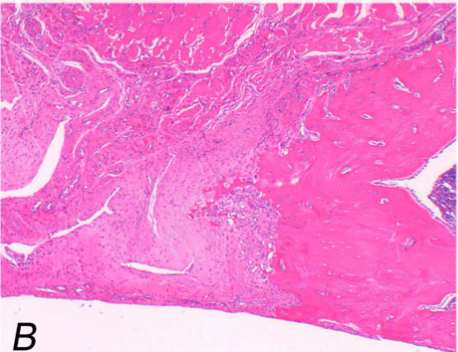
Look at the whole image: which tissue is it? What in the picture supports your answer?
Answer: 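Fibrous tissue. The left part is made of loosely arranged cellular tissue with elongated nuclei and wavy strands. The right part is solid, deep pink bone with lacunae.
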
